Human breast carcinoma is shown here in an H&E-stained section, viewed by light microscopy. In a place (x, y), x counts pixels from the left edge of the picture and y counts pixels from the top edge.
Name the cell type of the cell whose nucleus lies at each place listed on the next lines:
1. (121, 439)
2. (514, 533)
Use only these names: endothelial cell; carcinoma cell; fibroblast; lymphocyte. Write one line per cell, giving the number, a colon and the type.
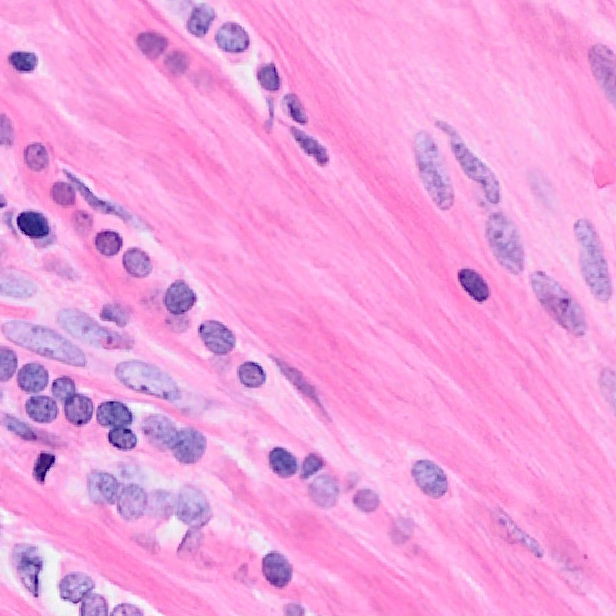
1: carcinoma cell
2: fibroblast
